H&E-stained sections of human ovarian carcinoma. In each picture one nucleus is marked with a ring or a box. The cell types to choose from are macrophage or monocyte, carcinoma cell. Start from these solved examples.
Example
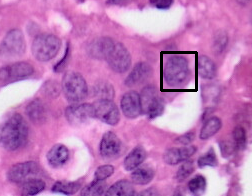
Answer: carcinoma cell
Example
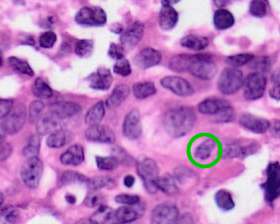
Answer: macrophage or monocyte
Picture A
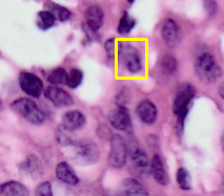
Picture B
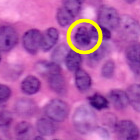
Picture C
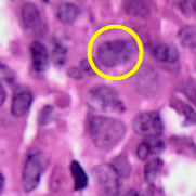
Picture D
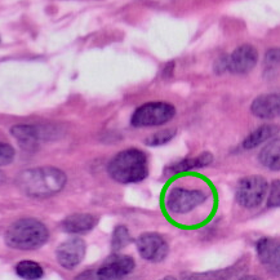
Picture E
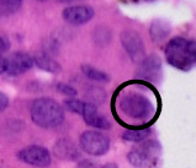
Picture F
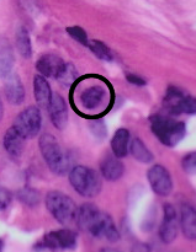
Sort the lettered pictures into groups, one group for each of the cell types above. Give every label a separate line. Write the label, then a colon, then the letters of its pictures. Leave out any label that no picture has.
macrophage or monocyte: A, D, F
carcinoma cell: B, C, E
